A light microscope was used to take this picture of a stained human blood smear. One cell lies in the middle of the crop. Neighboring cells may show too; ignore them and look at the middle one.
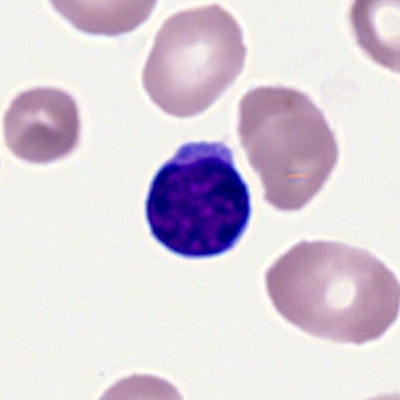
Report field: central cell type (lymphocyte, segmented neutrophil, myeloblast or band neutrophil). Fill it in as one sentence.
The centrally placed cell is classified as a lymphocyte.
